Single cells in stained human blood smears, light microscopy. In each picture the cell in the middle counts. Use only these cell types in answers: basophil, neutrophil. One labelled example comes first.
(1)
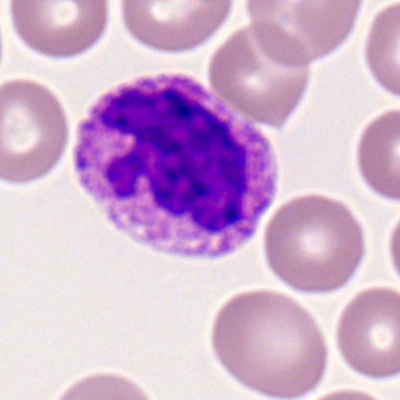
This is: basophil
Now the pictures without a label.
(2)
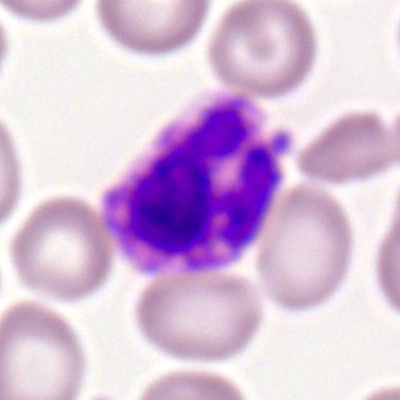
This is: basophil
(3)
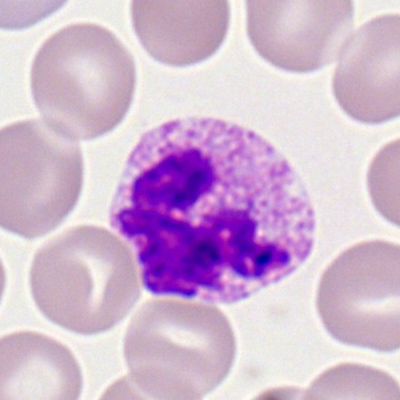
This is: basophil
